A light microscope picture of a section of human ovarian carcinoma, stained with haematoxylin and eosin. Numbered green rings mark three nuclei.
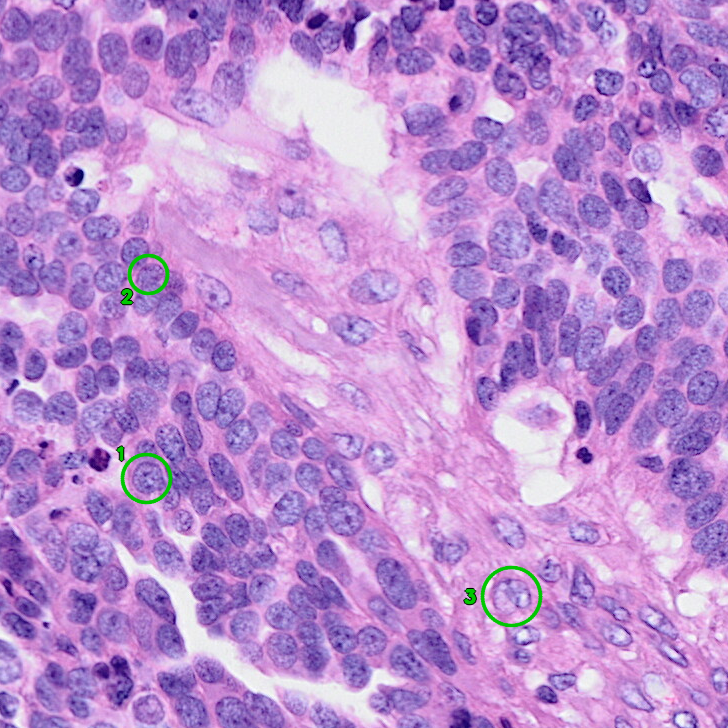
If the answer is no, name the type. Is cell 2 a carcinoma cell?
Yes.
